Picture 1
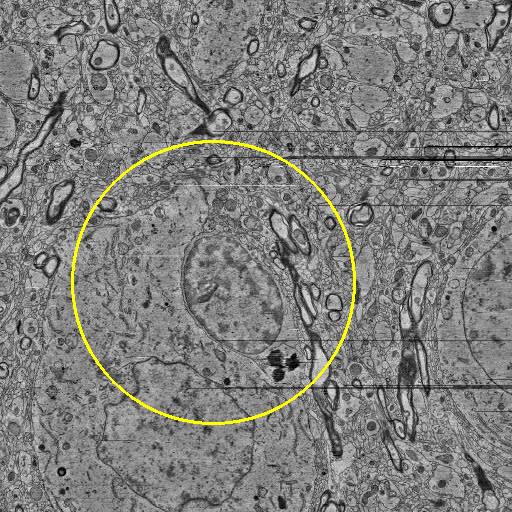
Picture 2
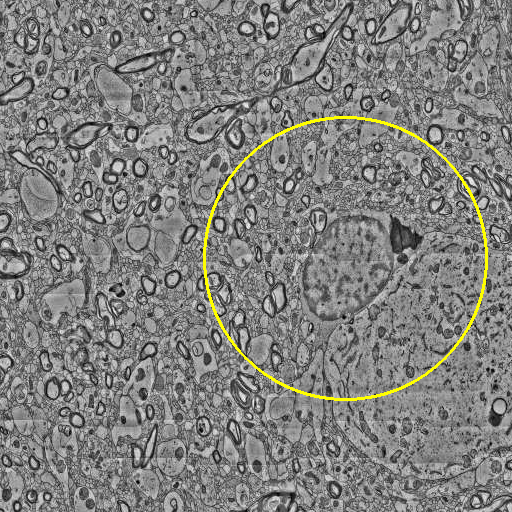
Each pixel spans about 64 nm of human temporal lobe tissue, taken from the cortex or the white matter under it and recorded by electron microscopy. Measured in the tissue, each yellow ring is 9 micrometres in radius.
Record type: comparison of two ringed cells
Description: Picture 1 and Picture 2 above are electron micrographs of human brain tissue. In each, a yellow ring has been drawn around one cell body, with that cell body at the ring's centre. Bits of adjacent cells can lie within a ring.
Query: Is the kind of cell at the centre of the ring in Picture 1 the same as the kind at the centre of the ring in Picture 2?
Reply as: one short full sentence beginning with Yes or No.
Yes, the two ringed cells are of the same kind.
